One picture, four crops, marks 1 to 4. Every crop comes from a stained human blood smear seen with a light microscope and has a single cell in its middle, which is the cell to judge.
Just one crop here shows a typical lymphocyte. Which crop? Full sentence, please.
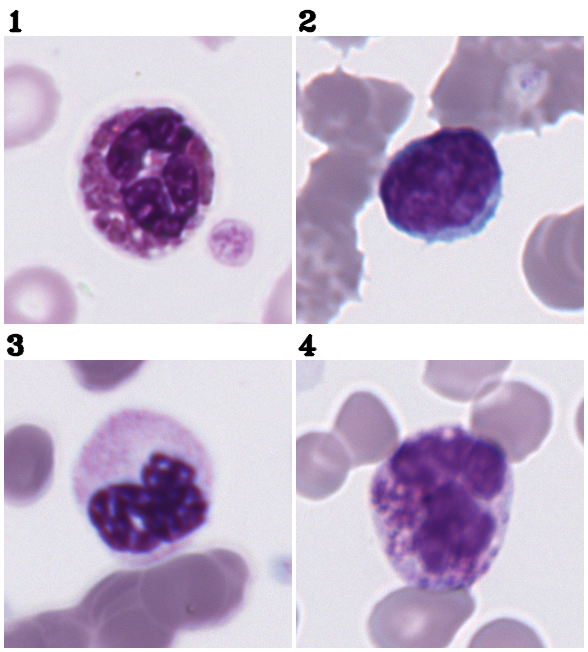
Crop 2 represents a typical lymphocyte, while the other crops do not.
